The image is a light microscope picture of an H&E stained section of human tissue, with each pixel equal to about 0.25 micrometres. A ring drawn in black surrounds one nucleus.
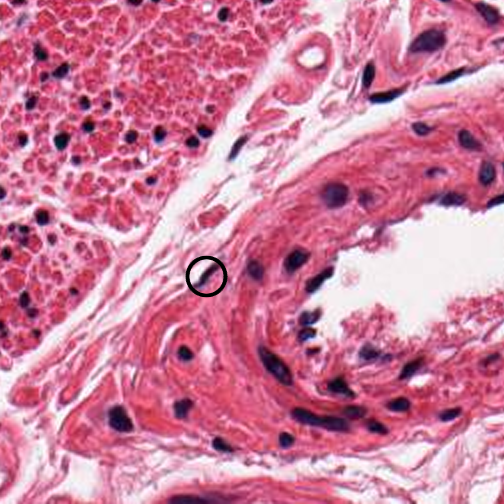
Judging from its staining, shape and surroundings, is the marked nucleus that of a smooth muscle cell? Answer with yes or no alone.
no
